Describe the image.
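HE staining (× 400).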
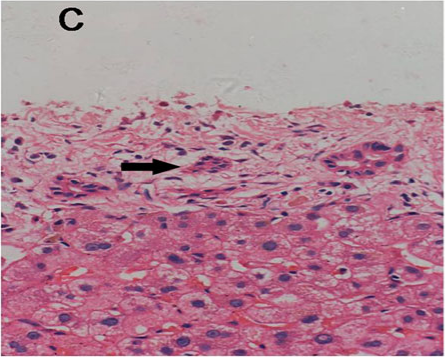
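Liver tissue at a portal margin, with hepatocytes below and a band of loose fibrous stroma above. Hepatocytes are polygonal, with pale pink, partly vacuolated cytoplasm and round central nuclei. The stroma holds scattered spindle-shaped cells and small inflammatory cells.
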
